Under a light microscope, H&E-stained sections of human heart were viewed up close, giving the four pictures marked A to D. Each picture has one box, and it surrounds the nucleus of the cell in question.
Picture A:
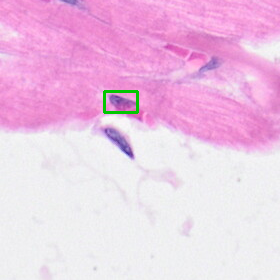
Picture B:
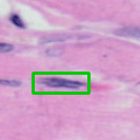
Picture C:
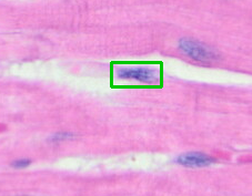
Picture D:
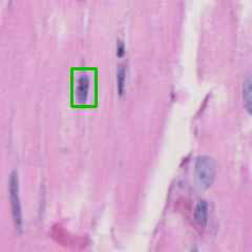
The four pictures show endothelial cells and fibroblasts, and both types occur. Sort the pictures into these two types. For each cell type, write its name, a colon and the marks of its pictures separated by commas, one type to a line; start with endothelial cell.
endothelial cell: B, C, D
fibroblast: A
